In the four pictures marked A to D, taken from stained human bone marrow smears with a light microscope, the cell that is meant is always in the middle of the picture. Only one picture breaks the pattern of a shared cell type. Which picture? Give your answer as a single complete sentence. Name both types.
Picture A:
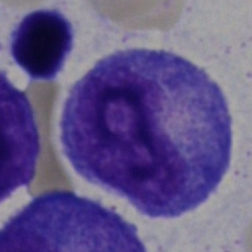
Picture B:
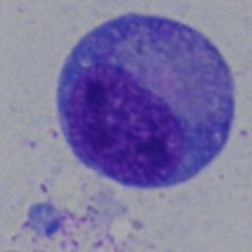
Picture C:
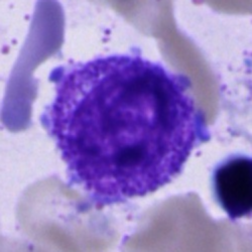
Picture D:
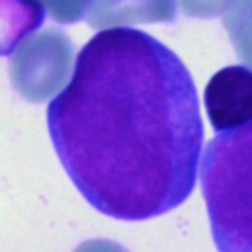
Unlike the rest, which show promyelocytes, picture D shows a blast.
